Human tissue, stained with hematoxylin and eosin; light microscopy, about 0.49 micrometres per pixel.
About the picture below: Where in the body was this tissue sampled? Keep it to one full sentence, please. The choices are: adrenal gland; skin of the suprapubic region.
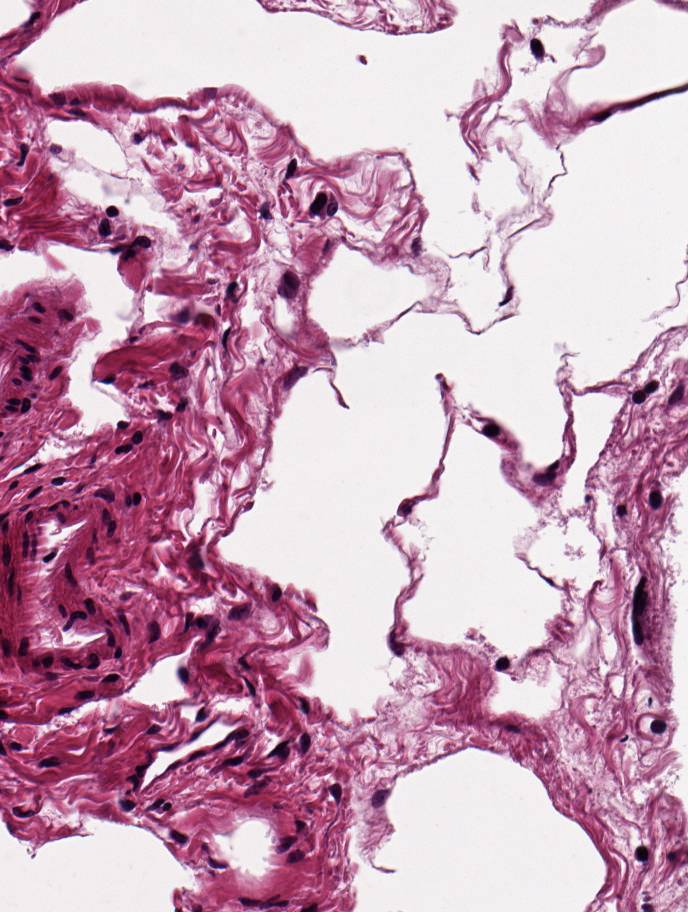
Tissue of the adrenal gland was sampled to make this section.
